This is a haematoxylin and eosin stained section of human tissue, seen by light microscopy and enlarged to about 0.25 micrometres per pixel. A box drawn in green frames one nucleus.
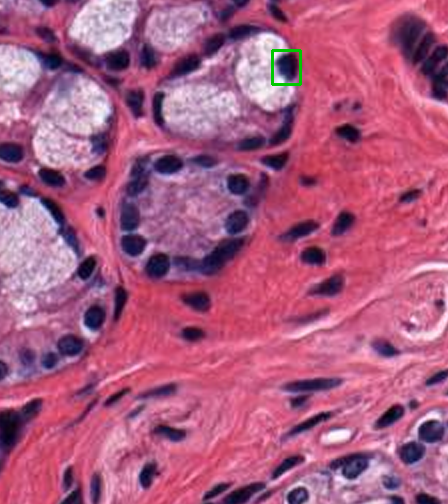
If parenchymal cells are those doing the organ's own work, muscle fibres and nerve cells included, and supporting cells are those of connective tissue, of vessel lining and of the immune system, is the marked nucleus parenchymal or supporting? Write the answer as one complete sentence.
In this field the marked nucleus is the nucleus of a mucous gland cell, a parenchymal cell.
